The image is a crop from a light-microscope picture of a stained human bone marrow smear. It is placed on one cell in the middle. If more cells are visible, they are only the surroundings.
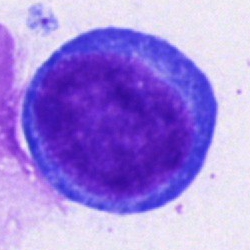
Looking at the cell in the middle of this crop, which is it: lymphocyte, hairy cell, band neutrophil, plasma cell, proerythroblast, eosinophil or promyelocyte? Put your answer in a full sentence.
The cell positioned in the middle of the field is a proerythroblast.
